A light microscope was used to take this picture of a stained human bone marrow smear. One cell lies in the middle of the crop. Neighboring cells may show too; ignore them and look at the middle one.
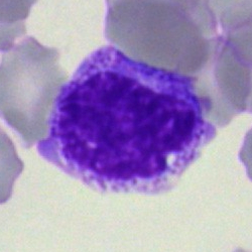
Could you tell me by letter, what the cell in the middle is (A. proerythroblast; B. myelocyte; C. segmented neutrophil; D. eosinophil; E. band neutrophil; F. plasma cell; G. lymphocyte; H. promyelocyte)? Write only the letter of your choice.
B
